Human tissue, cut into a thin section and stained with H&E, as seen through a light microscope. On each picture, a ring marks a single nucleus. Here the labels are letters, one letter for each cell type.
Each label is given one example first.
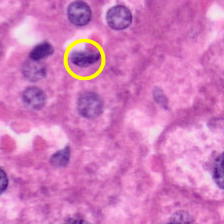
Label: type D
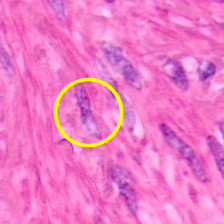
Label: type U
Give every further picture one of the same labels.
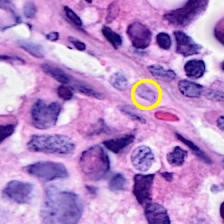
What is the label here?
type D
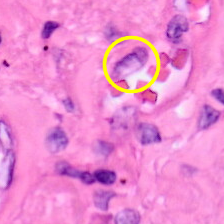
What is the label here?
type D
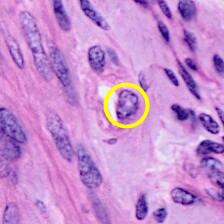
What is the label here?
type D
